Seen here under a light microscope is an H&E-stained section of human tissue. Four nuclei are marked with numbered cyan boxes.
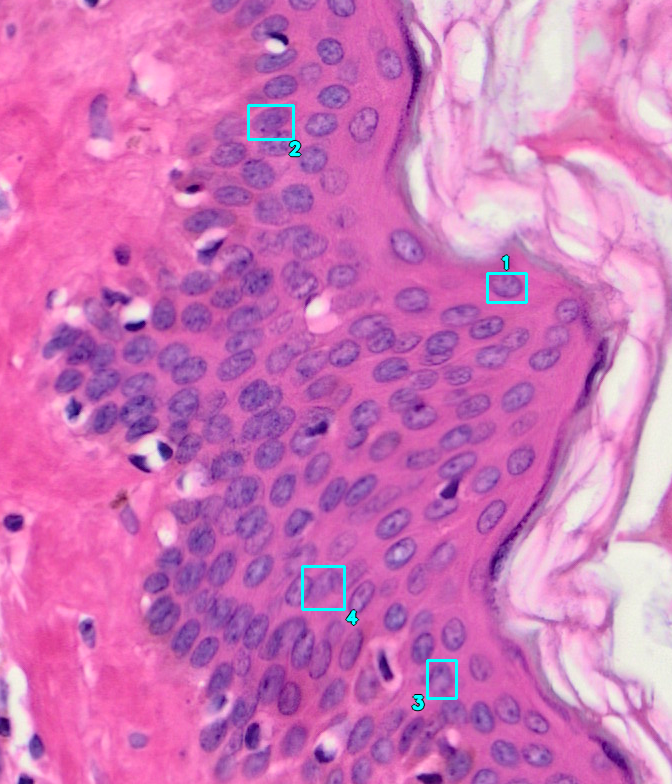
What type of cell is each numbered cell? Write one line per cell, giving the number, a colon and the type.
1: suprabasal keratinocyte
2: basal keratinocyte
3: suprabasal keratinocyte
4: suprabasal keratinocyte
